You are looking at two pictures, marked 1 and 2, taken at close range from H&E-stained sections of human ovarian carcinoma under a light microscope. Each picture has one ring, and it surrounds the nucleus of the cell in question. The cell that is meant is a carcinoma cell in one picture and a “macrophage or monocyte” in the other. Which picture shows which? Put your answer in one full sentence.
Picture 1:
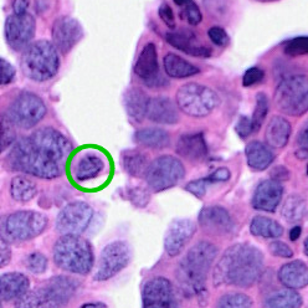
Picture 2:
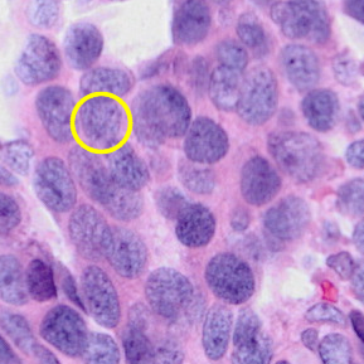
Picture 2 shows a carcinoma cell, while picture 1 shows a “macrophage or monocyte”.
